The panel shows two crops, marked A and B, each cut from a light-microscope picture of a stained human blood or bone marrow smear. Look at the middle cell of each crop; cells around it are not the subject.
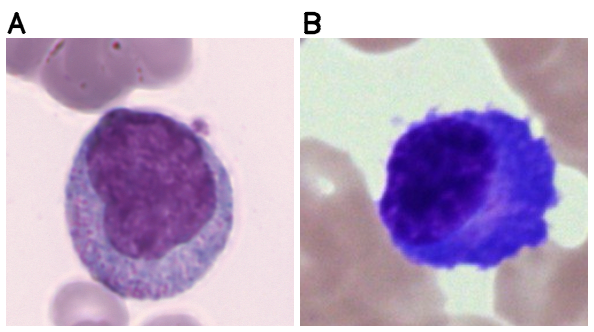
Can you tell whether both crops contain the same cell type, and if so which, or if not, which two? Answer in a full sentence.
No, a promyelocyte is shown in crop A and a plasma cell in crop B.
